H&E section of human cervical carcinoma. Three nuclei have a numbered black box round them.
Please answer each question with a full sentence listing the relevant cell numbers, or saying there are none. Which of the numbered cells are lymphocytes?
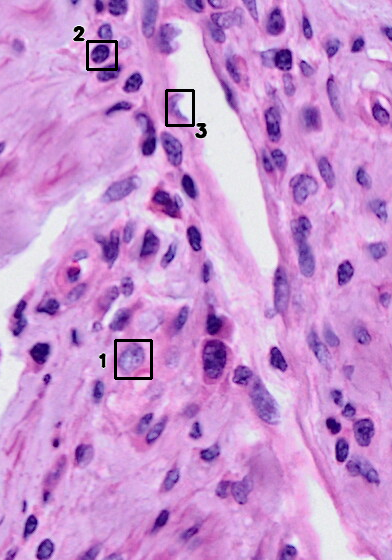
Only cell 2 qualifies as a lymphocyte among the numbered cells.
